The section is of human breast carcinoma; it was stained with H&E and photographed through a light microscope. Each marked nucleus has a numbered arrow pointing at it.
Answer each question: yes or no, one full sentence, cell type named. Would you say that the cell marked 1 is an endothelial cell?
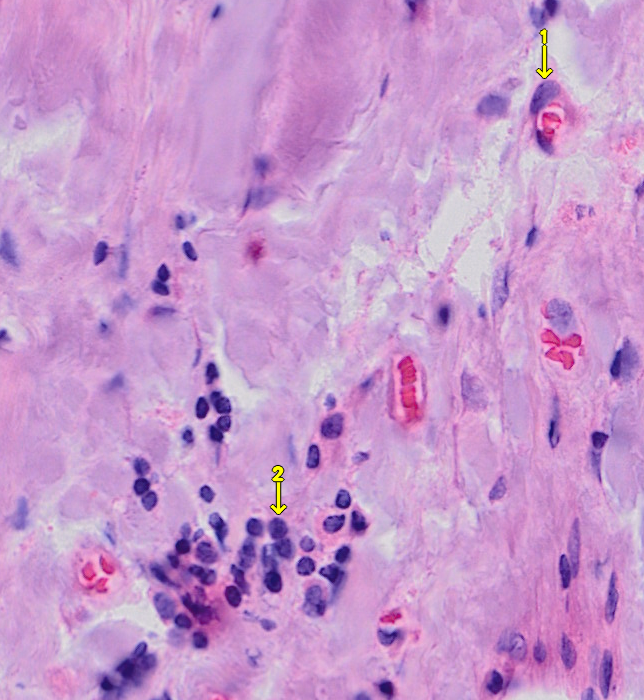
Yes, the cell indicated by number 1 is an endothelial cell.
